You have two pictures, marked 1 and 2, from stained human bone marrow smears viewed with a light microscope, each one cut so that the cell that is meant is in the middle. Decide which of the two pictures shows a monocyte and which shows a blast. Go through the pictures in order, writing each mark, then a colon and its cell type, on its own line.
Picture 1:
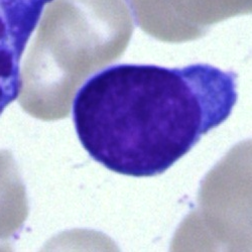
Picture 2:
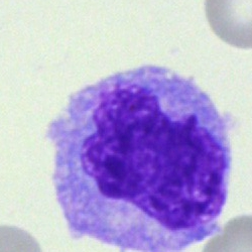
1: blast
2: monocyte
